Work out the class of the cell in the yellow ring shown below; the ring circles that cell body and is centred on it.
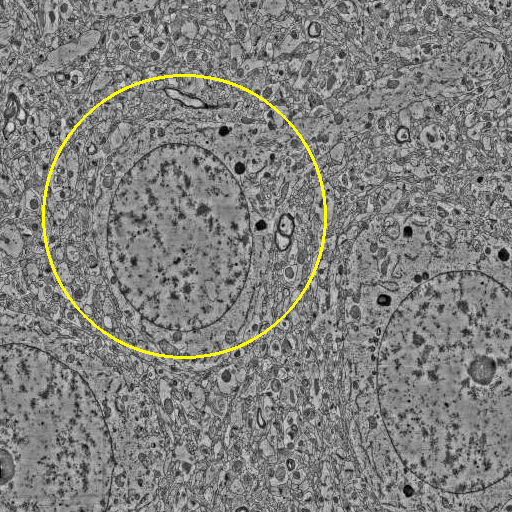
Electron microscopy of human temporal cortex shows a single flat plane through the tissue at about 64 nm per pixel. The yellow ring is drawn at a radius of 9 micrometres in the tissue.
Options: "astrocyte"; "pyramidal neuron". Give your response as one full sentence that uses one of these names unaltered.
The body ringed in yellow, right at the ring's centre, is that of a pyramidal neuron.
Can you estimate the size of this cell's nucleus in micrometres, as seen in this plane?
Roughly 12 micrometres by 9 micrometres, in this plane.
